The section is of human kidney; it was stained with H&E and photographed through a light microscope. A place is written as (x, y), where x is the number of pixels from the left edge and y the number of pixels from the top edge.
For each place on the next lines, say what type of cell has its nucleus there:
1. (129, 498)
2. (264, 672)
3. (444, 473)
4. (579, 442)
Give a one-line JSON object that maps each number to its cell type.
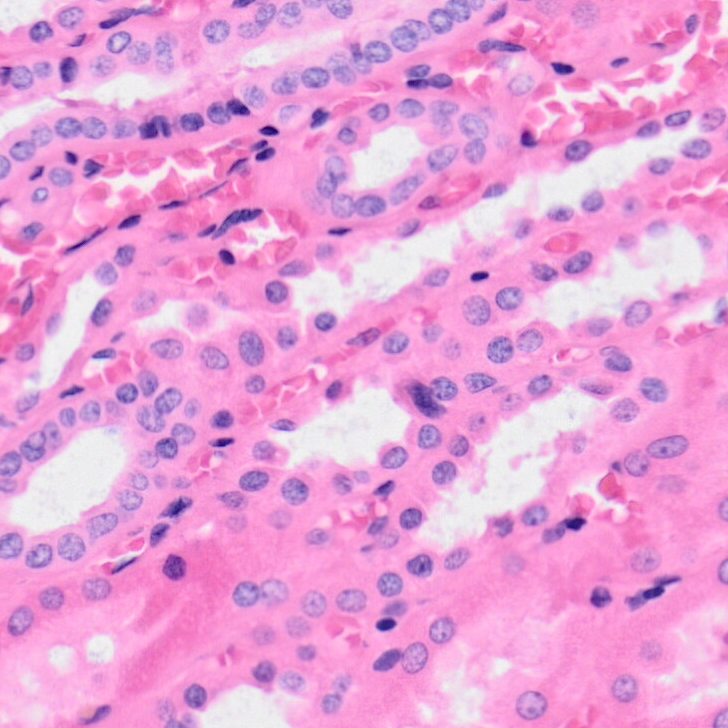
{"1": "collecting duct cell", "2": "loop of Henle or distal tubule cell", "3": "loop of Henle or distal tubule cell", "4": "loop of Henle or distal tubule cell"}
